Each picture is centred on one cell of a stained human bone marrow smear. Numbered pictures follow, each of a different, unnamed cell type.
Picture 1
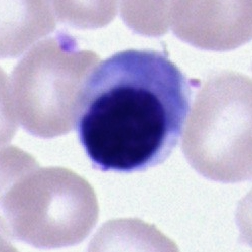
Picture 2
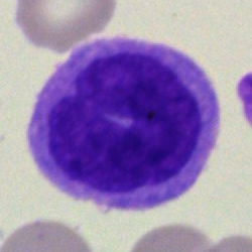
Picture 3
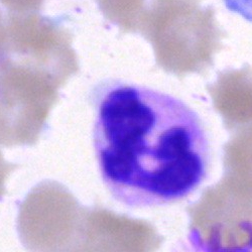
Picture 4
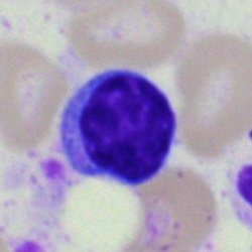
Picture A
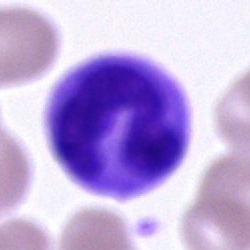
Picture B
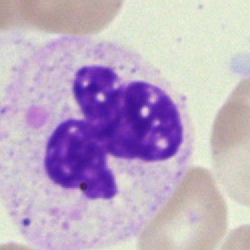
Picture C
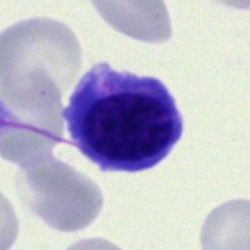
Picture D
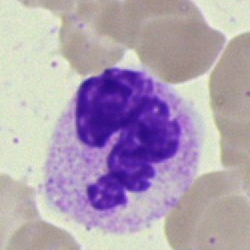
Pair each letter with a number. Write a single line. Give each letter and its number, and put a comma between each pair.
A 2, B 3, C 1, D 3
